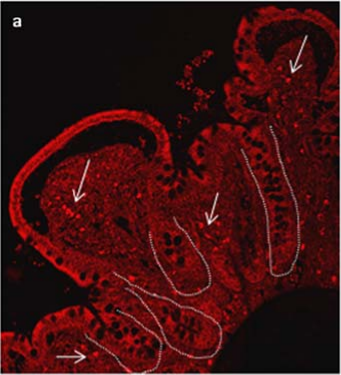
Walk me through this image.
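This is a section of small intestinal mucosa with finger-like villi covered by a continuous single layer of columnar epithelium, shown in red fluorescence. Tubular crypts lie between the bases of the villi, traced here by dashed lines. Within the connective tissue cores of the villi, beneath the epithelium, scattered single cells stand out more brightly than their surroundings and are marked by arrows.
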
